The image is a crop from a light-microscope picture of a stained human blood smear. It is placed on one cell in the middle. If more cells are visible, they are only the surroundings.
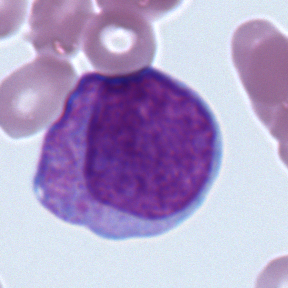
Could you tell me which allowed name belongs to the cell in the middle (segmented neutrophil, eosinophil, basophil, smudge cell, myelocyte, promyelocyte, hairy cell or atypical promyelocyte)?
atypical promyelocyte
